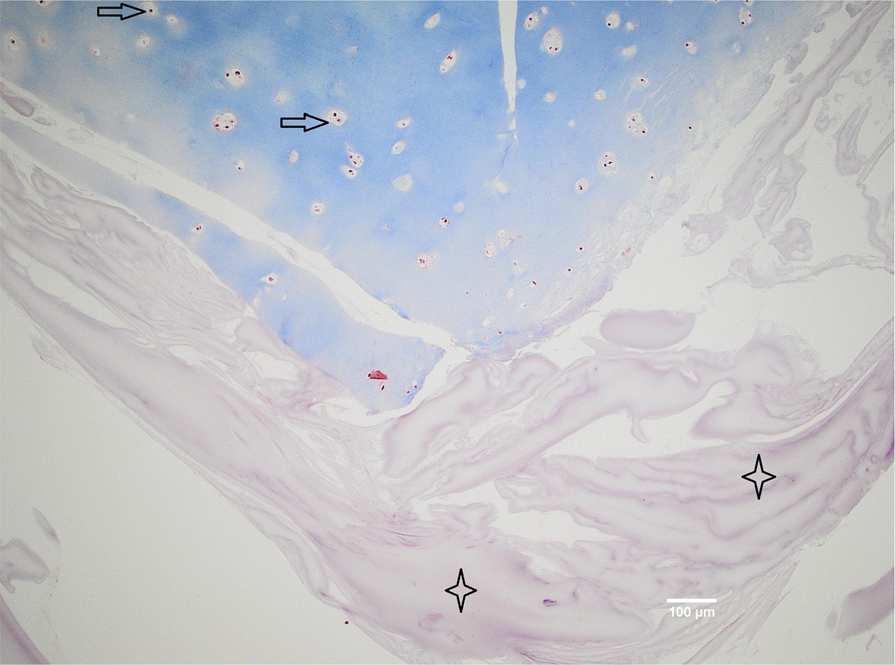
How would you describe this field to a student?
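A fragment of cartilage with a homogeneous blue matrix contains scattered chondrocytes, each with a small dark red nucleus, lying singly or in pairs within clear rounded lacunae. Below it lies a pale violet, layered, wavy matrix that is almost free of cells. No cells are seen leaving the cartilage to enter this surrounding matrix.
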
